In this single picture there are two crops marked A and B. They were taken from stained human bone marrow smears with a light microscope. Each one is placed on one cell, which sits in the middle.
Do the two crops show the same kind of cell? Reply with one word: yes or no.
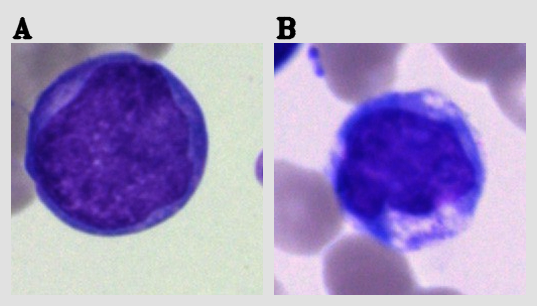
no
